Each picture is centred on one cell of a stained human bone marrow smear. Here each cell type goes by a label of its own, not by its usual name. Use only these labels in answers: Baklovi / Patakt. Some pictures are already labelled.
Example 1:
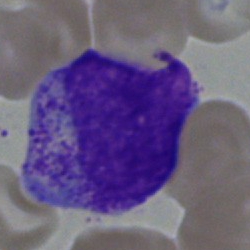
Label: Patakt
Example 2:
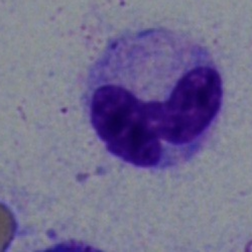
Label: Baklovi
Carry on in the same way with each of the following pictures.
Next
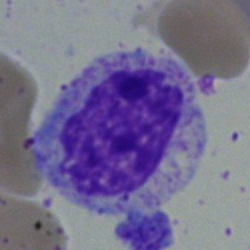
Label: Patakt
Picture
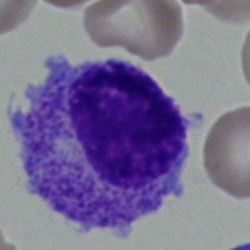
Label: Patakt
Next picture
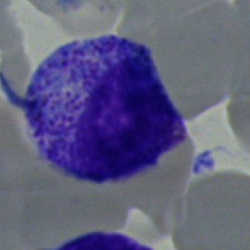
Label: Patakt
